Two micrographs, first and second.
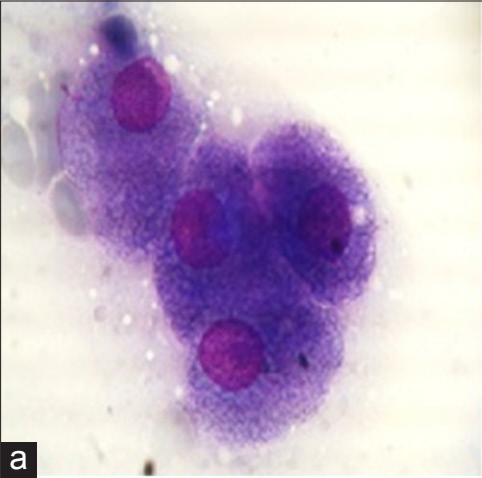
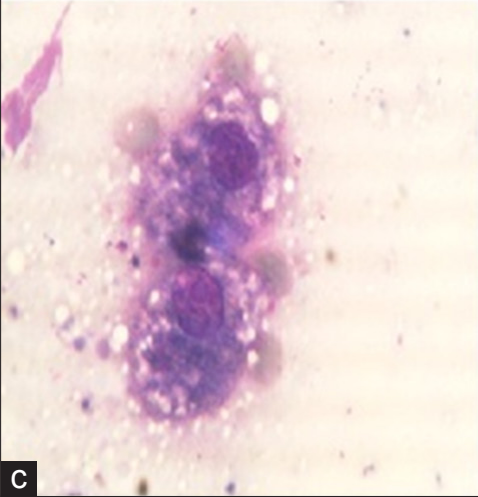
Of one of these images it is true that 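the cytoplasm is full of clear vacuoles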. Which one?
The second image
